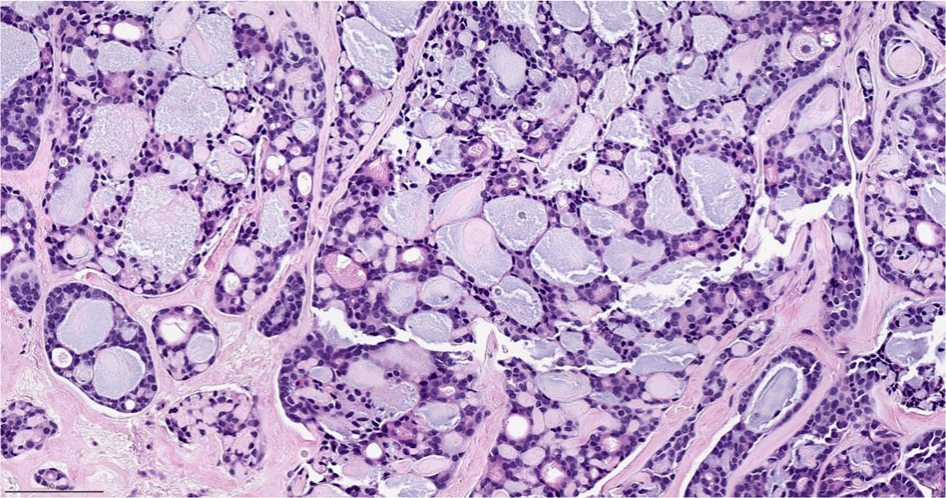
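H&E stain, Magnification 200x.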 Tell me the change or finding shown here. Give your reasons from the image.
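Nests of small cells with dark, angular nuclei and scant cytoplasm. The nests are riddled with round, punched-out spaces. The nests lie in pink, fibrous stroma.
Conclusion: adenoid cystic carcinoma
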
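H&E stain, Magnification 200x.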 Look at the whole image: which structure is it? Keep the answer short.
cribriform growth patterns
